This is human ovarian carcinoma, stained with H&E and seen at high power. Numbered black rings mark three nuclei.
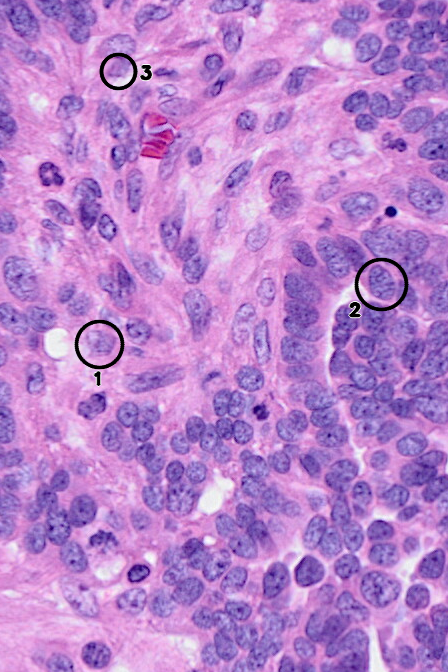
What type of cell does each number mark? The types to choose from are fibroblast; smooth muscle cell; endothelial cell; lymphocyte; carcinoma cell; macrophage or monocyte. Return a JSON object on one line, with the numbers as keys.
{"1": "fibroblast", "2": "carcinoma cell", "3": "fibroblast"}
